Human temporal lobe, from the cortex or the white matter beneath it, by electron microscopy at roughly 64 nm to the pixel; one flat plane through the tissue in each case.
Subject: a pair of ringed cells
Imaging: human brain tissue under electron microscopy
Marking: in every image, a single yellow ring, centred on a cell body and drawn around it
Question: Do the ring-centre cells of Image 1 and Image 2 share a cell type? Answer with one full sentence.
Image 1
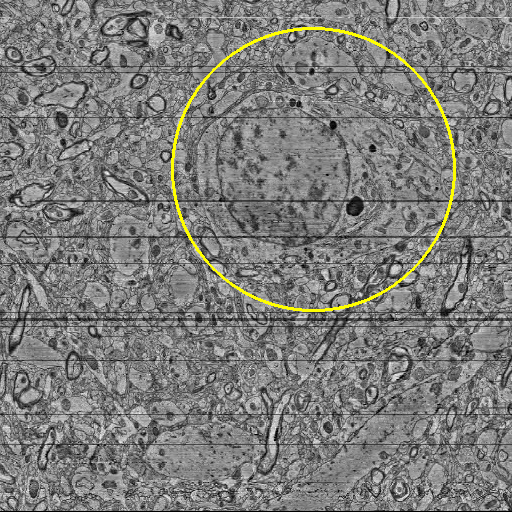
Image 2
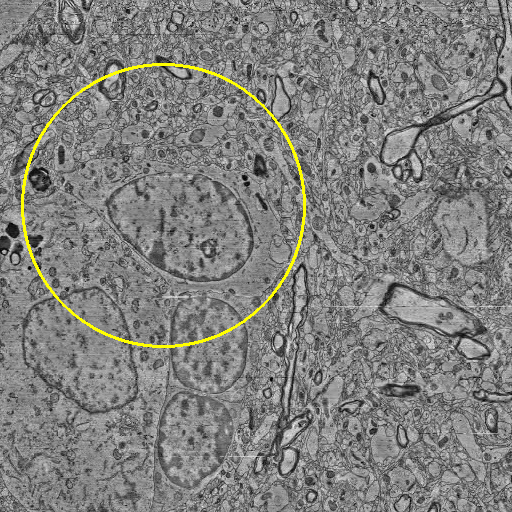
No, at the ring centres in the images sit cells of two separate types.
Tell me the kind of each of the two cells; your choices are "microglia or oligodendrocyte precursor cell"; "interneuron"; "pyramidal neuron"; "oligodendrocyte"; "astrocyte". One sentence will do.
The ringed cell is a pyramidal neuron in the first picture and a microglial cell or oligodendrocyte precursor cell in the second picture.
